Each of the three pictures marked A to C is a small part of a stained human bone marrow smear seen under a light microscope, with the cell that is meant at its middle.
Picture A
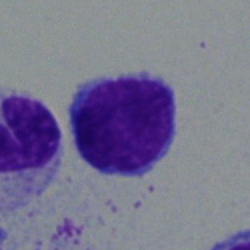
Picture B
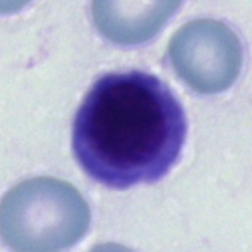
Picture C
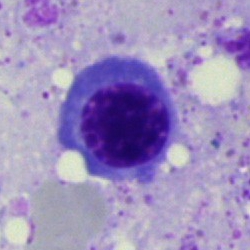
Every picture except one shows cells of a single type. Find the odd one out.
A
